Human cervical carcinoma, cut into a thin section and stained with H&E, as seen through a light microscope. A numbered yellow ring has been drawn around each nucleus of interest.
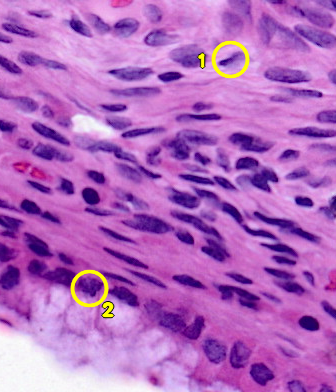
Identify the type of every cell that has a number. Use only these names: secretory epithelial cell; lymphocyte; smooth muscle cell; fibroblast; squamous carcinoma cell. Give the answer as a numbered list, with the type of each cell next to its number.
1. fibroblast
2. secretory epithelial cell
